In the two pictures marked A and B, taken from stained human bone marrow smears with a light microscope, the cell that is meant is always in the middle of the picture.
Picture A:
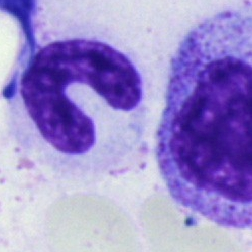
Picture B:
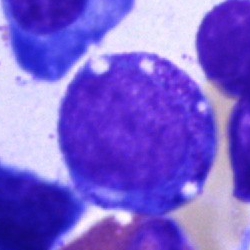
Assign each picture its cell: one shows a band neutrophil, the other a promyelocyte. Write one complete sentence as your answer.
Picture B shows a promyelocyte, while picture A shows a band neutrophil.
